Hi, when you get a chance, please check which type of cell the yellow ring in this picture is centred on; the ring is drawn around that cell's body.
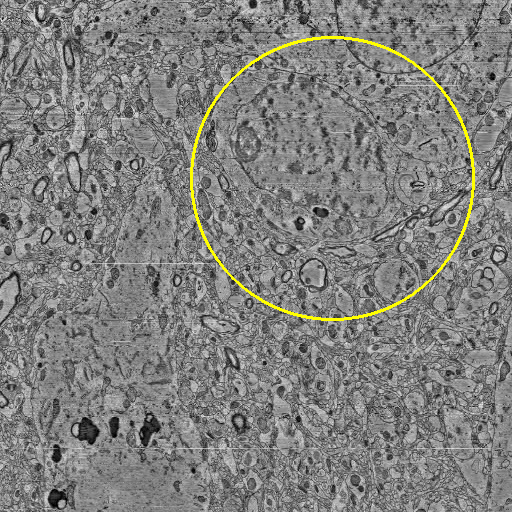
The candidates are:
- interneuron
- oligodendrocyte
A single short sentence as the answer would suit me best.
The ring is drawn around the body of an interneuron.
